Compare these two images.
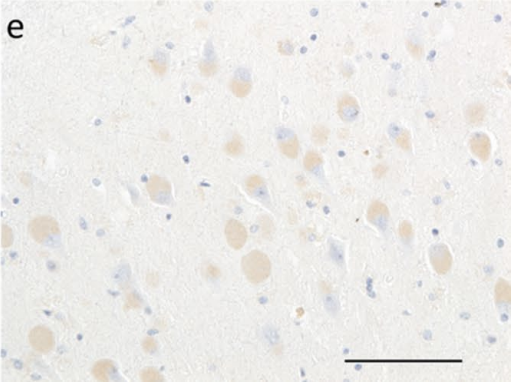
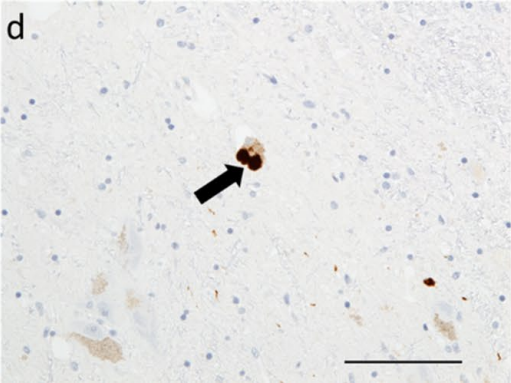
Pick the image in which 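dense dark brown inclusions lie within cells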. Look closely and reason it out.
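First image: swollen cells with only pale even tan staining, no dark inclusions. Second image: a cell holds a dark brown rounded inclusion, with small brown dots and threads nearby. That points to this answer: the second image.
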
